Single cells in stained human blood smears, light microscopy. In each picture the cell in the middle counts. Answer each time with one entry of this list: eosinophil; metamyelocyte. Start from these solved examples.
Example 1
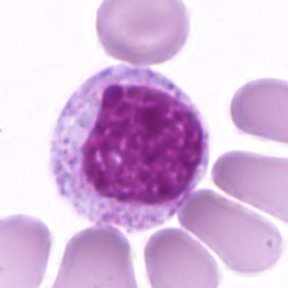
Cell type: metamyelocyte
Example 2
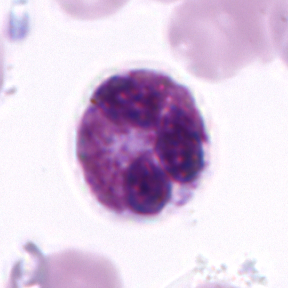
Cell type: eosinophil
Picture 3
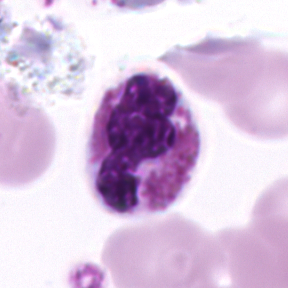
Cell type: eosinophil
